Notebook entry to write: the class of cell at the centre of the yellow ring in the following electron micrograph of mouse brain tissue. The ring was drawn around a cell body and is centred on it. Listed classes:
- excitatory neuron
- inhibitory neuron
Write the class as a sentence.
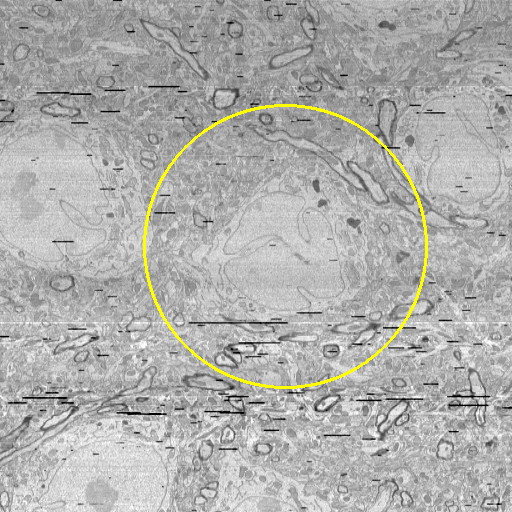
The yellow ring sits on an excitatory neuron.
